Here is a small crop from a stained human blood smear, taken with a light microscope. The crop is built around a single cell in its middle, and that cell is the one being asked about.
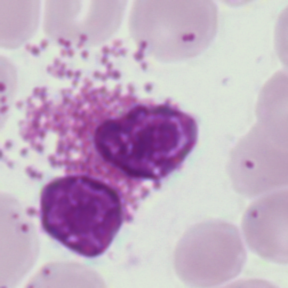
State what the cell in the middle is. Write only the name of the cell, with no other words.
eosinophil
